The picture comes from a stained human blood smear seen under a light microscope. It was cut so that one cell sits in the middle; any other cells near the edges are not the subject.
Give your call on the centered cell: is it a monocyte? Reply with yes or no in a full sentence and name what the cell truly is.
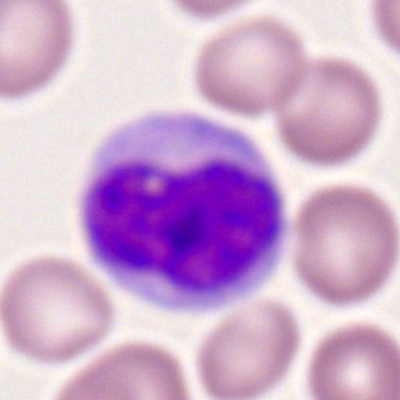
Yes, shown in the middle of the crop is a monocyte.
